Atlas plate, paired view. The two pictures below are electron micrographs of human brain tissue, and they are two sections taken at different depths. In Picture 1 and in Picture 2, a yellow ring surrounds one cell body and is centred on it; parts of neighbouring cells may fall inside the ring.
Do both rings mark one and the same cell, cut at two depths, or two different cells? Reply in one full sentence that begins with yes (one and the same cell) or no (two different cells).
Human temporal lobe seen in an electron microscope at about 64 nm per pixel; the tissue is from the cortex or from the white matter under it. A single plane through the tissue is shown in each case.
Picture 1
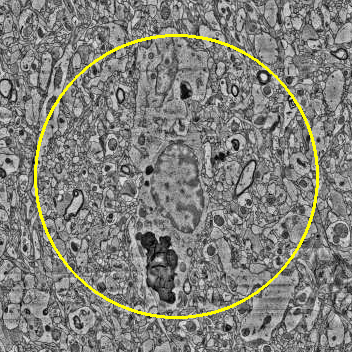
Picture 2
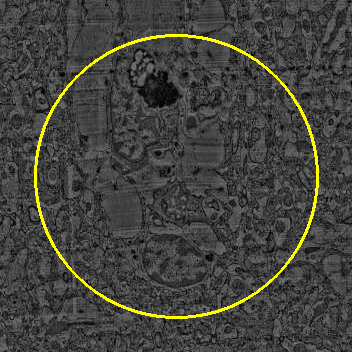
No, the yellow rings mark two cells that are not the same.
